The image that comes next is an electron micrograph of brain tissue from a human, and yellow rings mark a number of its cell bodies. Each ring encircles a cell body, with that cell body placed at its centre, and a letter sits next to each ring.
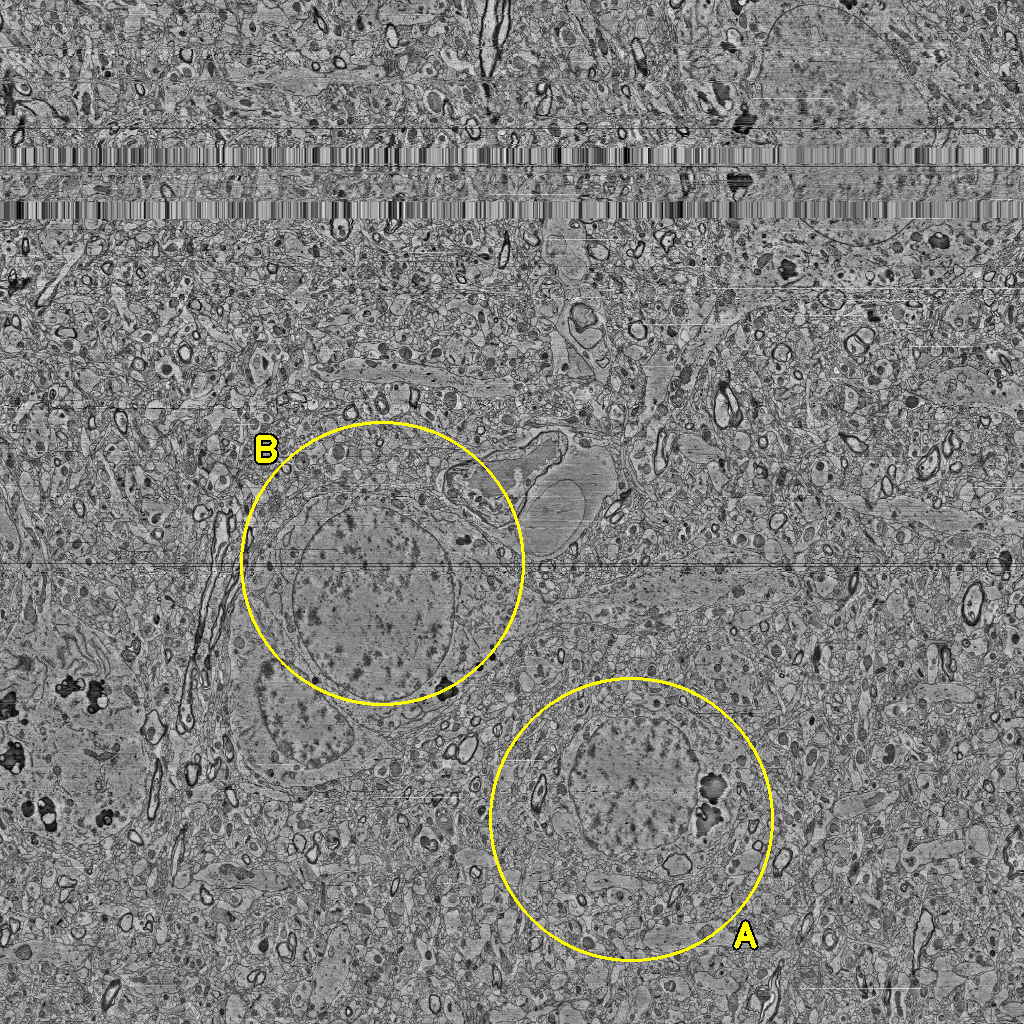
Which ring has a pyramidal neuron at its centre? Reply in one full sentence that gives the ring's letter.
In the image, ring B has the cell the question asks for at its centre.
